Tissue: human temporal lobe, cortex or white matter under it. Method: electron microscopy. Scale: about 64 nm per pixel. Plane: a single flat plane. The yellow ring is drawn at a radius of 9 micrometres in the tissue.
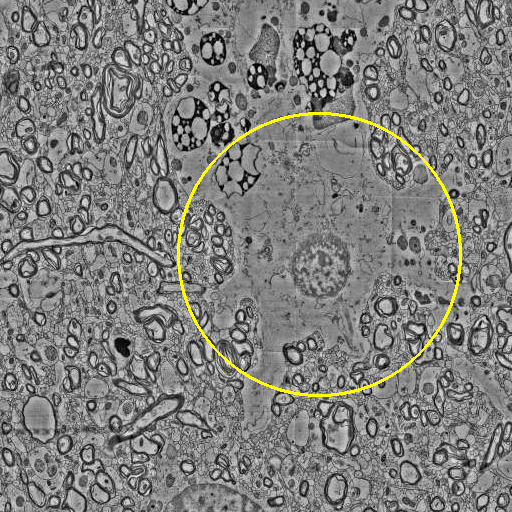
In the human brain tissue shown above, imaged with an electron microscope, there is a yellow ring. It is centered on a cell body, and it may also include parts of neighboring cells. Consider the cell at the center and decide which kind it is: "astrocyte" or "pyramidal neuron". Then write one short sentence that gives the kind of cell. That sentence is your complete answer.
This centered cell body is that of an astrocyte.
